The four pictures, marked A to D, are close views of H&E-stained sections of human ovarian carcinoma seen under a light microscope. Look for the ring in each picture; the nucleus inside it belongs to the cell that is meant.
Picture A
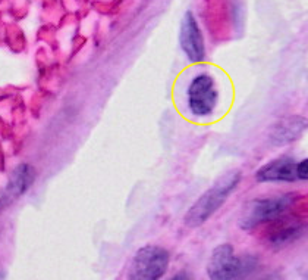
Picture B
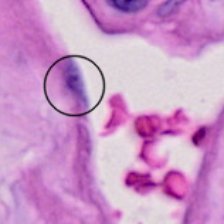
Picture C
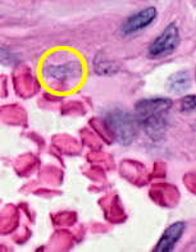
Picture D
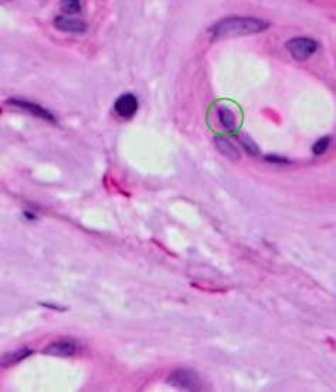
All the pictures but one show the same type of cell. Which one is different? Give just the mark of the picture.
A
